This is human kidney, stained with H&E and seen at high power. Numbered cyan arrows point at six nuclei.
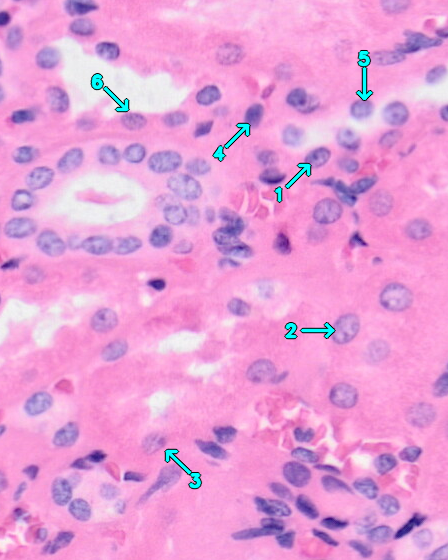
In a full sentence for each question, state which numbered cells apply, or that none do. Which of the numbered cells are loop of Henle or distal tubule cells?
The cells shown with numbers 1, 5 and 6 are loop of Henle or distal tubule cells.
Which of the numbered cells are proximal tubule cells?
The cells shown with numbers 2 and 3 are proximal tubule cells.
